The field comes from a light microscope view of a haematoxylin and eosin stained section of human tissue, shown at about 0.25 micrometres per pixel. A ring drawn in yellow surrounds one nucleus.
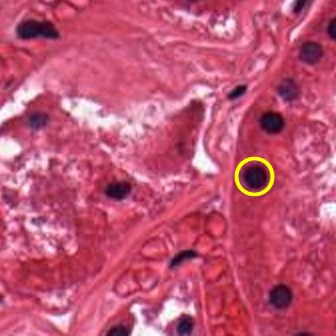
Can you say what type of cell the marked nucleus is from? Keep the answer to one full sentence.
Within a proximal tubule cell lies the marked nucleus.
